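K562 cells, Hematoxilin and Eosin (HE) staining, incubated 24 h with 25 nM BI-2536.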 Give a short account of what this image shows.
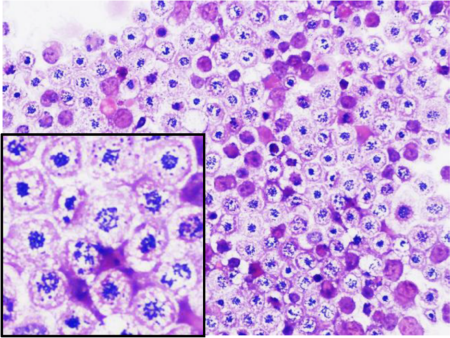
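The field is crowded with large round cells whose cytoplasm is pale lilac and finely vacuolated. In place of a round nucleus, most cells carry a central cluster of dark blue-purple condensed chromosomes, often irregular or star-shaped, with no visible nuclear outline. A minority of cells between them keep an intact, evenly purple interphase nucleus, and some appear darker and smaller. An enlarged inset at the lower left shows several such cells, each with its compact chromosome mass lying within a clear halo of cytoplasm.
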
